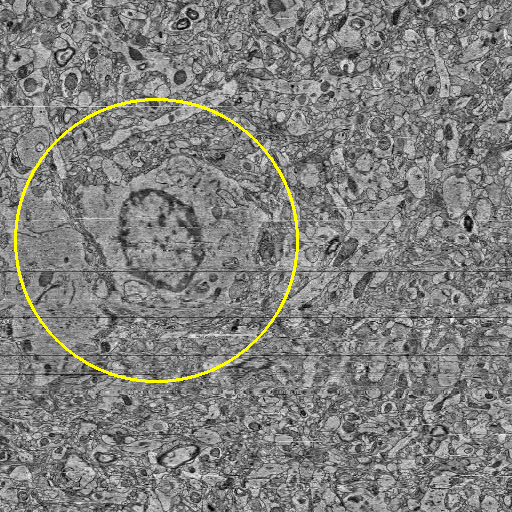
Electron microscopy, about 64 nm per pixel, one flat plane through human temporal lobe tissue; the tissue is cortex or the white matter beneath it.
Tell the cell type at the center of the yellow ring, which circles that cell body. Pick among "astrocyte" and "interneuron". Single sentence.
The ring is centered on the body of an astrocyte.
